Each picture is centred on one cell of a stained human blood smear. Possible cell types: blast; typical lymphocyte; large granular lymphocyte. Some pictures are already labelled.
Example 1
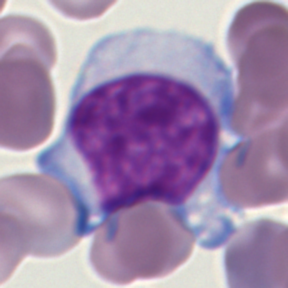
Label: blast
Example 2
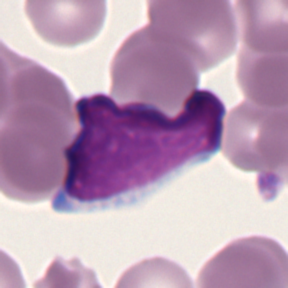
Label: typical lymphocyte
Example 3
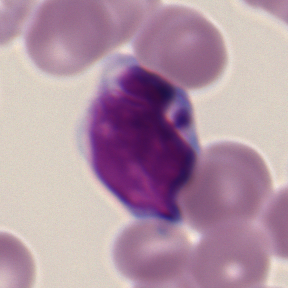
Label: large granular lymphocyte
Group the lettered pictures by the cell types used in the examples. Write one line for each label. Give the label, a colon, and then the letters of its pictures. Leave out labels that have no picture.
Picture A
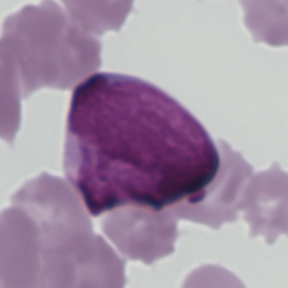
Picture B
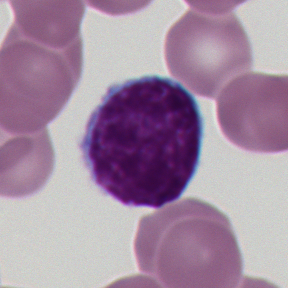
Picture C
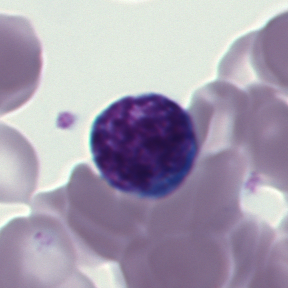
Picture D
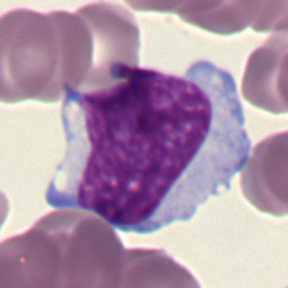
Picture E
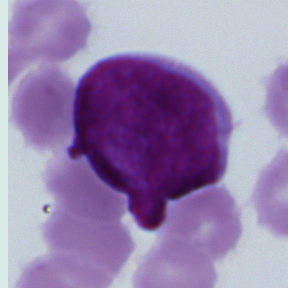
blast: A, D, E
typical lymphocyte: B, C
